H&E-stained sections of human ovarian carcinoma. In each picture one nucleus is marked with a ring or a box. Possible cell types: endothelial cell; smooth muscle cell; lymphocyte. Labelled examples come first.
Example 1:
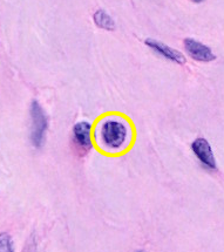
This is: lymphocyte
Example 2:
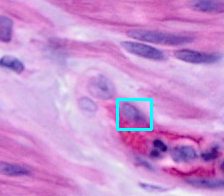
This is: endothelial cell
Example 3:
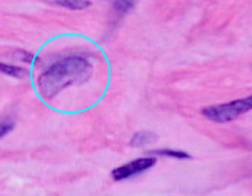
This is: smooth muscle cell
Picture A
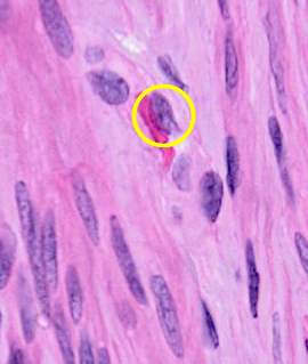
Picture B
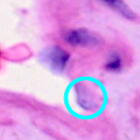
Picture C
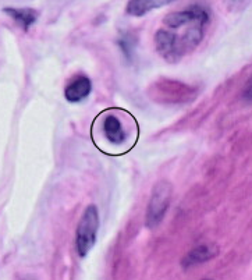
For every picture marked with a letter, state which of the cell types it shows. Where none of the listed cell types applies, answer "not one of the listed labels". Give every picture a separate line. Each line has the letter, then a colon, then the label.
A: endothelial cell
B: endothelial cell
C: lymphocyte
